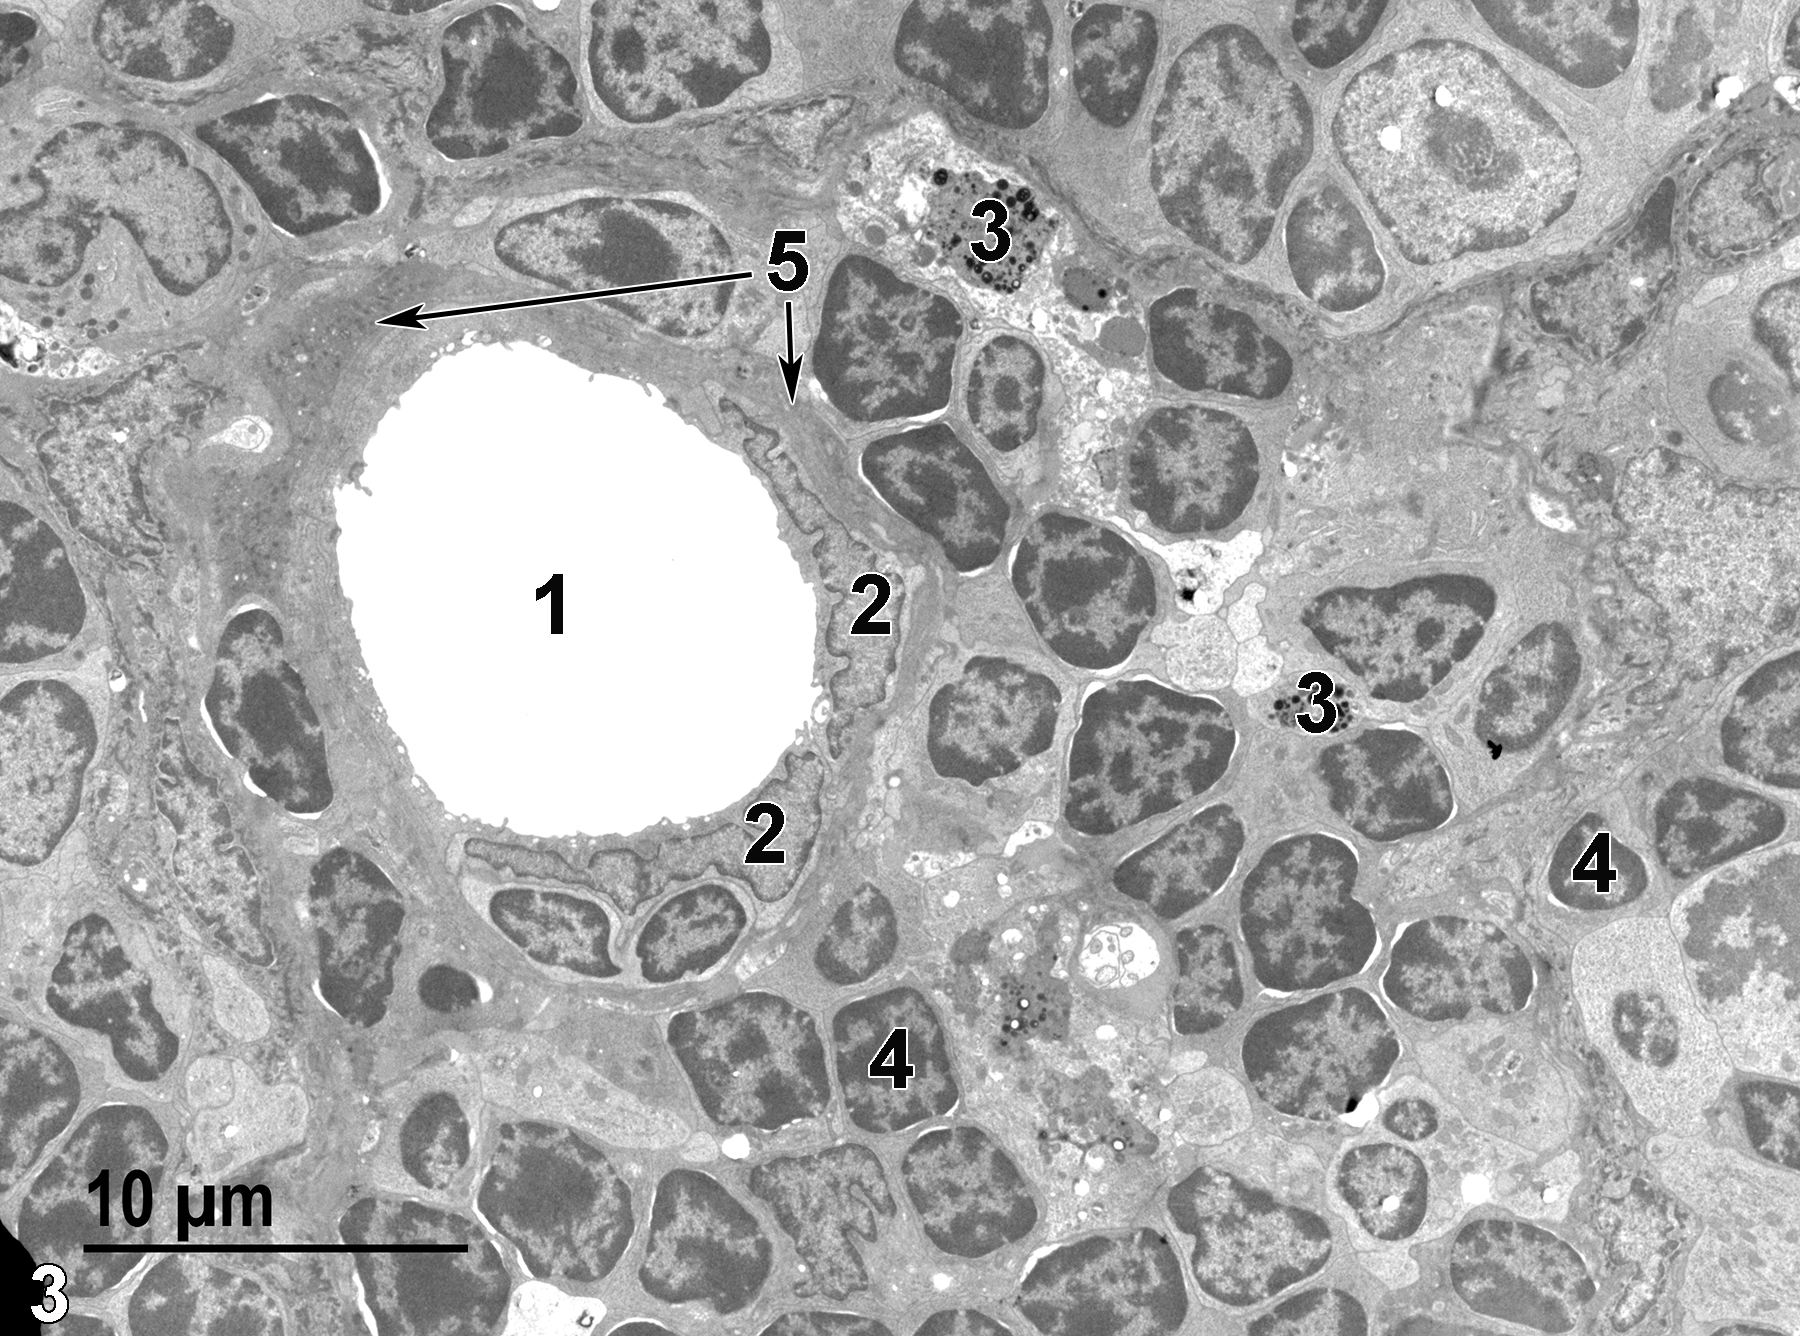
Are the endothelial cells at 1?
No, it marks the central arteriole lumen; the endothelial cells are at 2.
